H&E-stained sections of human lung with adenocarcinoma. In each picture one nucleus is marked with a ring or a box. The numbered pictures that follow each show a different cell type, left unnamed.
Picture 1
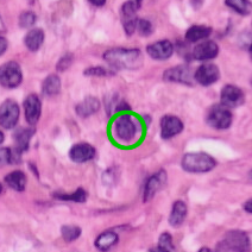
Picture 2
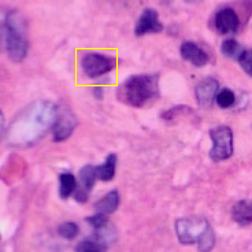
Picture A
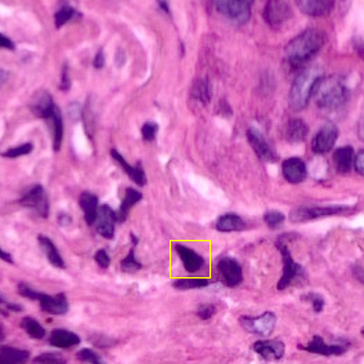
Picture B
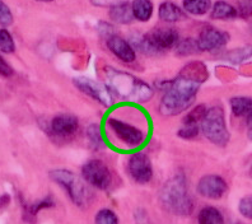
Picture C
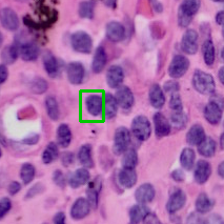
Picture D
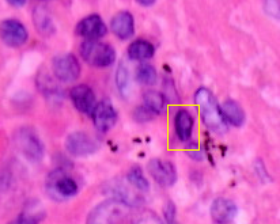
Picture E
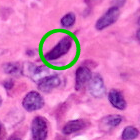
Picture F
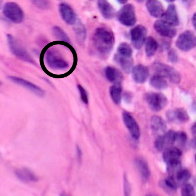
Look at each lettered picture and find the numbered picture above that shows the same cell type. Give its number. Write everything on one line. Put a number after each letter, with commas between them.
A 2, B 2, C 1, D 2, E 2, F 2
